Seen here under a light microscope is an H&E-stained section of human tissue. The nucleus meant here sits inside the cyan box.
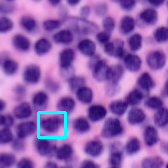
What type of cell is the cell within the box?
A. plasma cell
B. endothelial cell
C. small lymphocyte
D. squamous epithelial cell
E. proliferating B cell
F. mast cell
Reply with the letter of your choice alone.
C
